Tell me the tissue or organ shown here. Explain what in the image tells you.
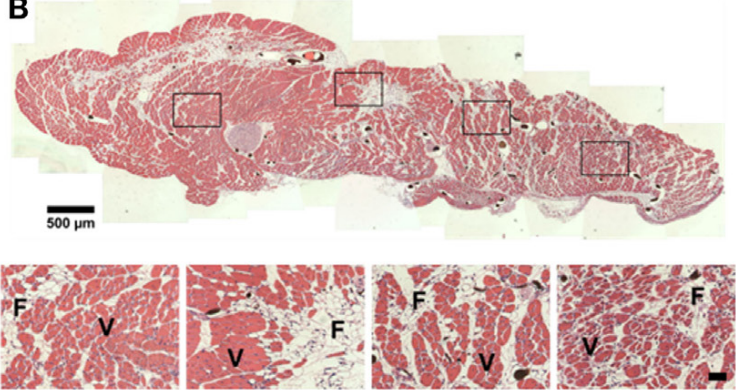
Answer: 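Most of the section is made of closely packed pink-red polygonal fibers. The fibers are cut in cross-section and separated by thin pale septa. The enlarged views show the fibers in groups, like fascicles.
Muscle.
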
